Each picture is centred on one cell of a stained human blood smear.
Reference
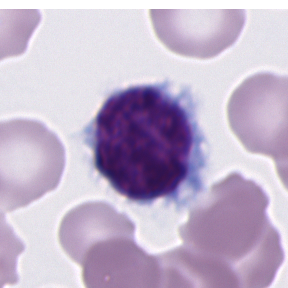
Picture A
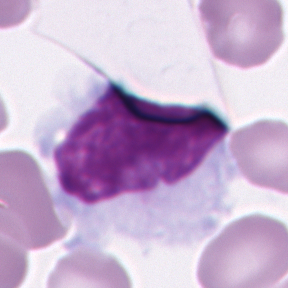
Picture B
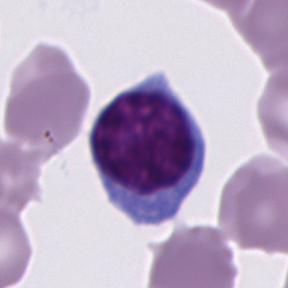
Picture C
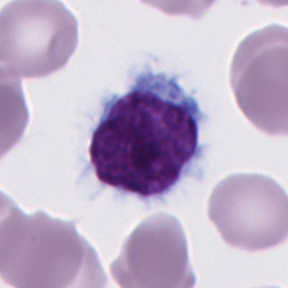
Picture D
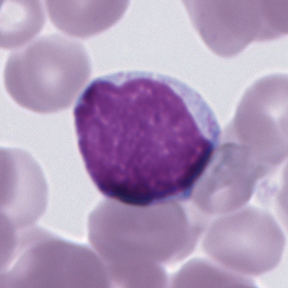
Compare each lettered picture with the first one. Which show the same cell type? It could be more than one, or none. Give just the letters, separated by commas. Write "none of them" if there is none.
A, C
